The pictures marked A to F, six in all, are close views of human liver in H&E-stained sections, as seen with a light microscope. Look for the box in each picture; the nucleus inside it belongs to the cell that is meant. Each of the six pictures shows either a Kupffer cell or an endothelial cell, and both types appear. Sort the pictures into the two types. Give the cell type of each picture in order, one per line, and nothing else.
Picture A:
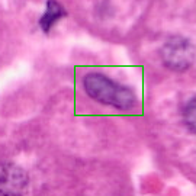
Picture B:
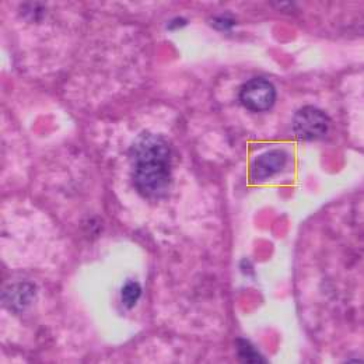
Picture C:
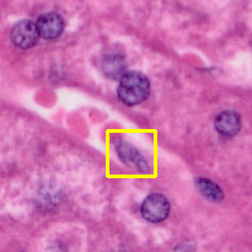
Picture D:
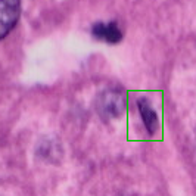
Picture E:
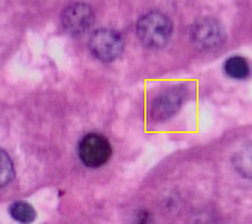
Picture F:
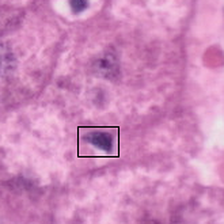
Kupffer cell
Kupffer cell
Kupffer cell
endothelial cell
Kupffer cell
endothelial cell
